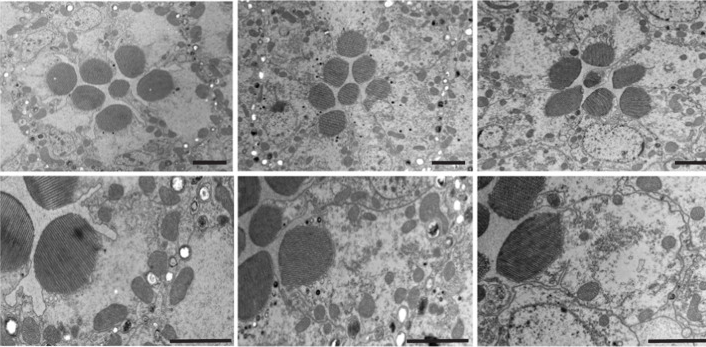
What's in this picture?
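Electron micrographs of photoreceptor cell bodies in cross section. In the upper row, dark oval rhabdomeres with finely striated microvillar texture lie in a ring at the centre of each ommatidium. The lower row shows the edge of a rhabdomere and the adjacent cytoplasm at higher magnification, with mitochondria, vesicles and membranes.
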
